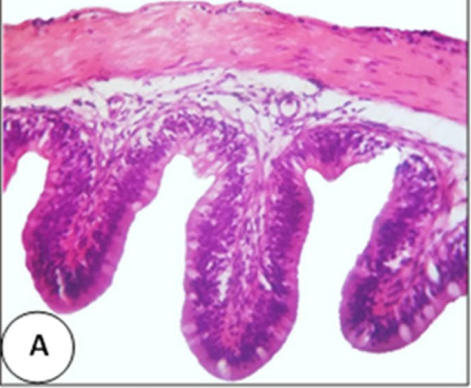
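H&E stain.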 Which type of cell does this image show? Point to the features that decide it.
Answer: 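Goblet cells. Pale, rounded, clear cells are scattered within the epithelium. They lie near the surface of the projections among cells with dark elongated nuclei.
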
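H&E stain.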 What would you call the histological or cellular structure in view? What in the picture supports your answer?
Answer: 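Finger-like projections extend from the wall into an empty lumen. Each projection is covered by a columnar epithelium around a narrow core. The answer: intestinal villi.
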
